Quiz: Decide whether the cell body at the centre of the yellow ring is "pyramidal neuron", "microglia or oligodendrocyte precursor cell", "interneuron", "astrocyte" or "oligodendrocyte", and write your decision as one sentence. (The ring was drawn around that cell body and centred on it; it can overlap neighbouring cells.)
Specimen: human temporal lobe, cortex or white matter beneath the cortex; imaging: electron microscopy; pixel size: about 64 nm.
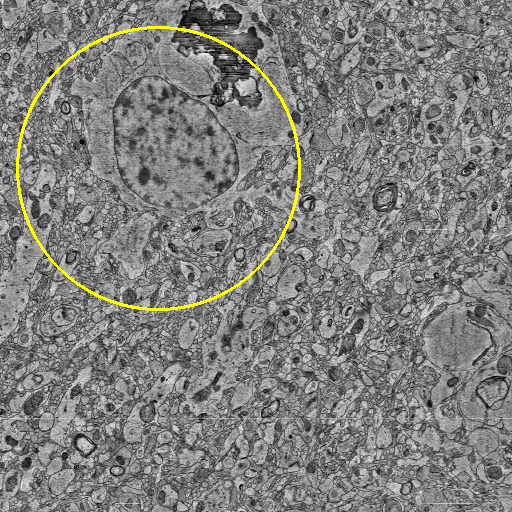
The cell the ring is centred on is an astrocyte.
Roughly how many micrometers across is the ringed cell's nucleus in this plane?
The nucleus appears roughly 9 by 8 micrometres in this plane.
